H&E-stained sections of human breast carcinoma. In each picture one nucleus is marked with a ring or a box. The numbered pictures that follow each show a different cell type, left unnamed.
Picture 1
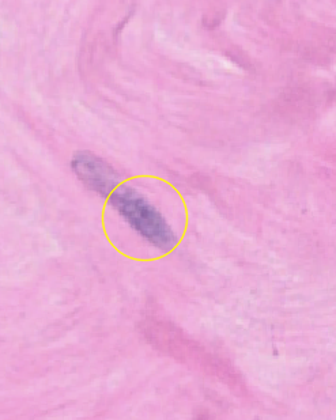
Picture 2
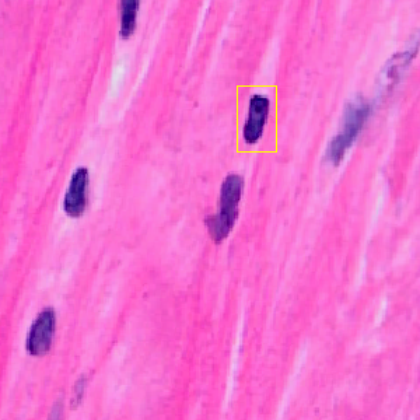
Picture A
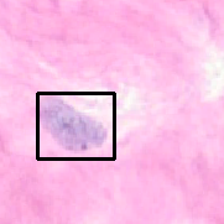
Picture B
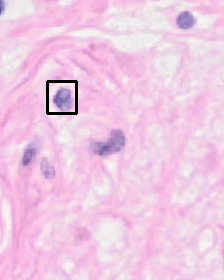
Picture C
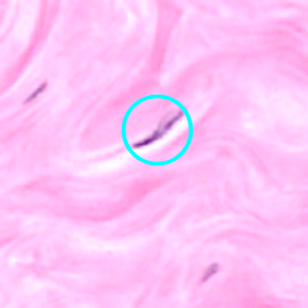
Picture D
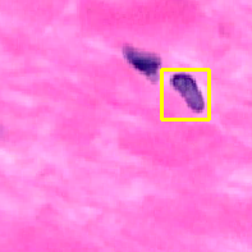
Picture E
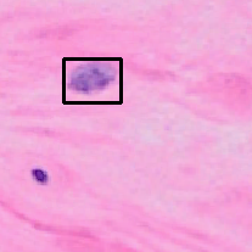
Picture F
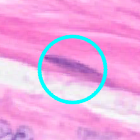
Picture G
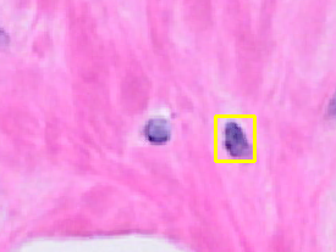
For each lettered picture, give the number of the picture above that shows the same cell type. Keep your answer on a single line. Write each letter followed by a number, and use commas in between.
A 1, B 2, C 1, D 2, E 1, F 1, G 2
